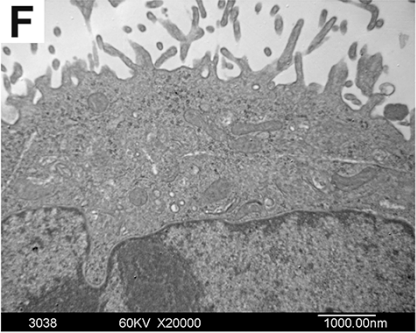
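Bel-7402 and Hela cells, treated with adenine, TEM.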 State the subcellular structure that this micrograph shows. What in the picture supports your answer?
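Numerous slender finger-like projections extend from the cell surface. Many of these projections appear cut in cross and oblique section beyond the cell edge.
Conclusion: Microvilli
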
